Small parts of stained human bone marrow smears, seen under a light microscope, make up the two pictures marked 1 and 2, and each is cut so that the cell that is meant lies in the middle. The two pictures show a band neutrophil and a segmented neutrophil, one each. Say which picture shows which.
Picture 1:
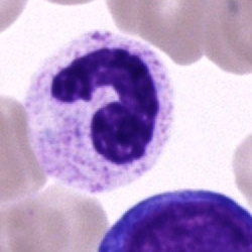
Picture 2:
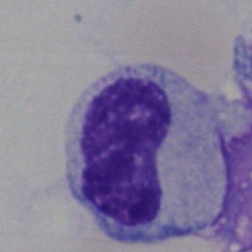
1: segmented neutrophil
2: band neutrophil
